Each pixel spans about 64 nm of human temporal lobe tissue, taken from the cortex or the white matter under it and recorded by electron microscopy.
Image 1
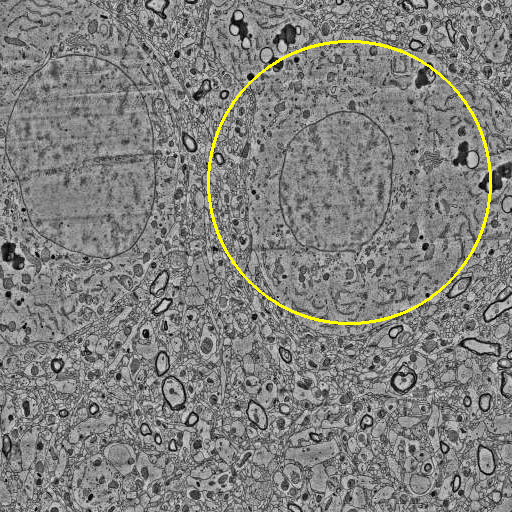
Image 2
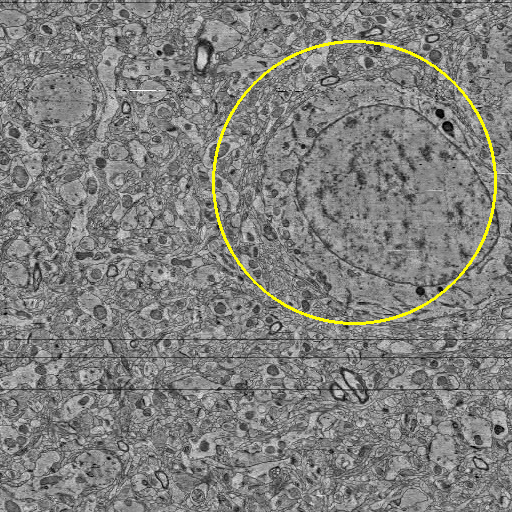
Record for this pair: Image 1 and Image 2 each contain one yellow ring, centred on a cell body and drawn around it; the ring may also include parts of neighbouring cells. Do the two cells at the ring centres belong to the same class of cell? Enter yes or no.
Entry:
yes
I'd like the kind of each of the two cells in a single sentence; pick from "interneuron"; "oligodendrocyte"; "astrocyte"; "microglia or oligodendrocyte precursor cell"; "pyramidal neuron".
Each cell at the centre of a ring is a pyramidal neuron.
